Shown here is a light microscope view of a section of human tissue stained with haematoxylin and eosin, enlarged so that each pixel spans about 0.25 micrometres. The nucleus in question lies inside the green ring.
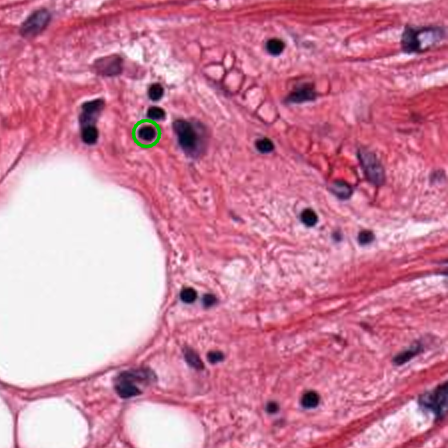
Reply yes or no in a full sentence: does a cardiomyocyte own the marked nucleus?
No, a cardiomyocyte is not the cell of the marked nucleus; a supporting cell is.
